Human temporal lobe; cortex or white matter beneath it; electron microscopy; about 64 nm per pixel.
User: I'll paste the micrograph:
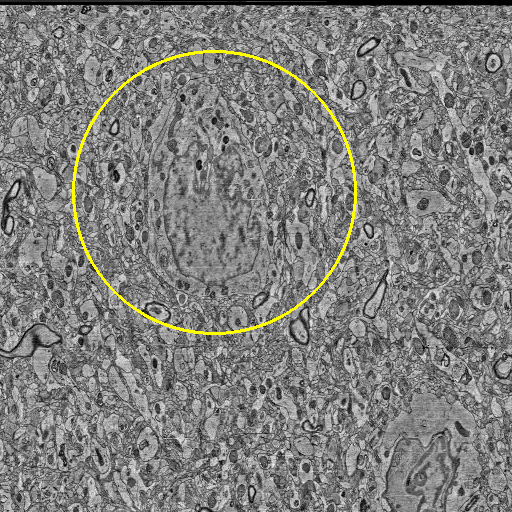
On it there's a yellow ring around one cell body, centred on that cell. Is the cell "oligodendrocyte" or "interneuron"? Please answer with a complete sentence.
The cell ringed in yellow is an interneuron.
